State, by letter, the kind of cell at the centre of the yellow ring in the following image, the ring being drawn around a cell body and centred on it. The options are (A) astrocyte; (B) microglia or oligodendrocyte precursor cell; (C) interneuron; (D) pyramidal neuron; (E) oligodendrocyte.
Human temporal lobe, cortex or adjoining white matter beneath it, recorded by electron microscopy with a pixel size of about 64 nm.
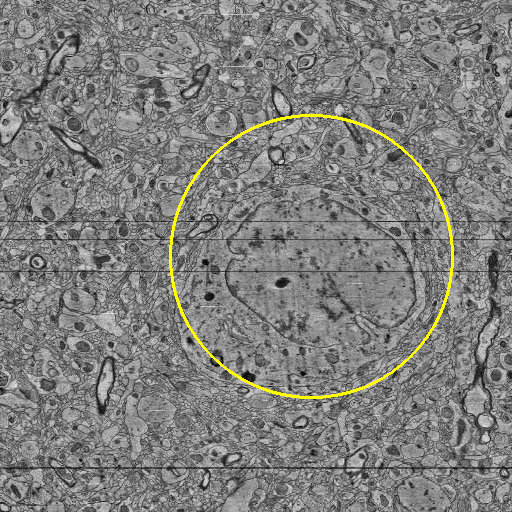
D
